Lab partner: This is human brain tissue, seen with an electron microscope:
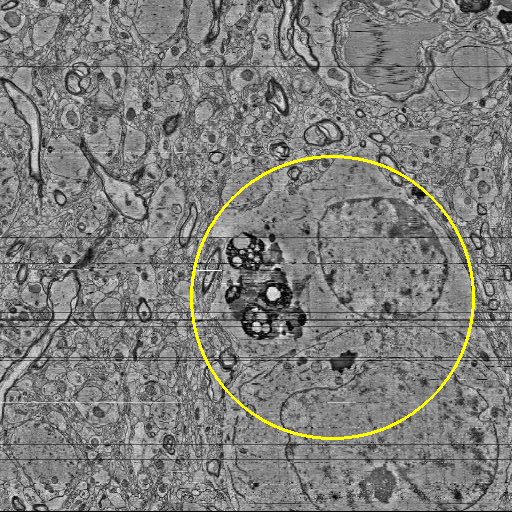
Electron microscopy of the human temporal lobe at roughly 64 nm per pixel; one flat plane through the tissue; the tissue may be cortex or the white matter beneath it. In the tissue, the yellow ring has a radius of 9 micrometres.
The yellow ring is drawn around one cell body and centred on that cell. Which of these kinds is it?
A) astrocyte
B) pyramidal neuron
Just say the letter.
A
